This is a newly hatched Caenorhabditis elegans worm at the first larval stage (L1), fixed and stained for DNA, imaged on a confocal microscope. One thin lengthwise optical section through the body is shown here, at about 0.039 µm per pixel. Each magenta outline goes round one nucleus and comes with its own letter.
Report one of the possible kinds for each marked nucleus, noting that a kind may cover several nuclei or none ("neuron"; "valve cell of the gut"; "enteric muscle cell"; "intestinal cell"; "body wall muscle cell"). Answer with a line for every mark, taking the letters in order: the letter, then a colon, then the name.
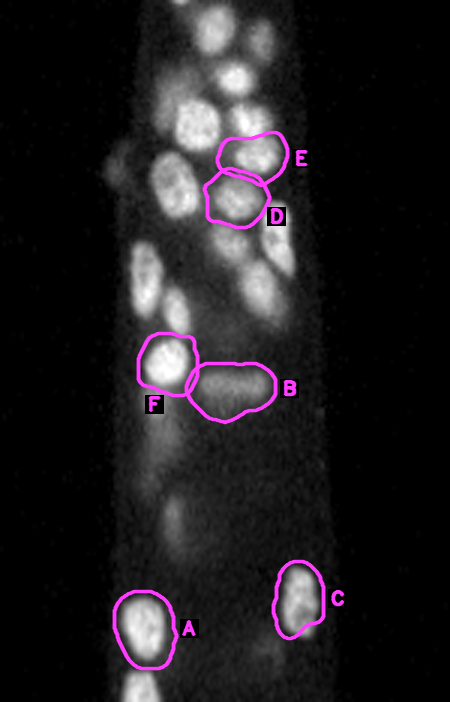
A: neuron
B: valve cell of the gut
C: body wall muscle cell
D: neuron
E: enteric muscle cell
F: neuron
